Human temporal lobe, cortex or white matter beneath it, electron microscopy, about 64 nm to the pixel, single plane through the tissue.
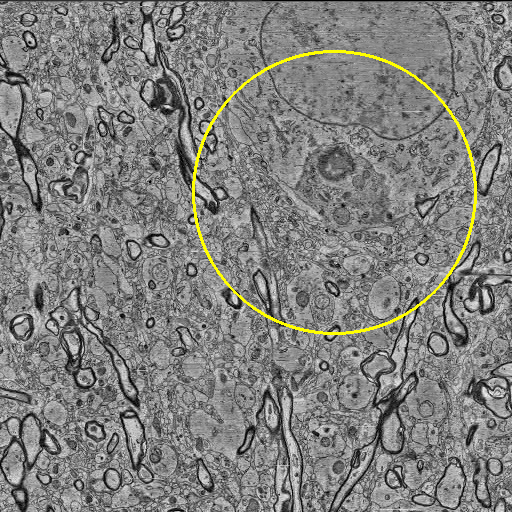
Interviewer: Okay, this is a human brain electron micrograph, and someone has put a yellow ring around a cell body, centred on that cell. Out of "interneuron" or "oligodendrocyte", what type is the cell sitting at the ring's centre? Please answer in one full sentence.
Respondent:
The cell at the centre of the yellow ring in this picture is an oligodendrocyte.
